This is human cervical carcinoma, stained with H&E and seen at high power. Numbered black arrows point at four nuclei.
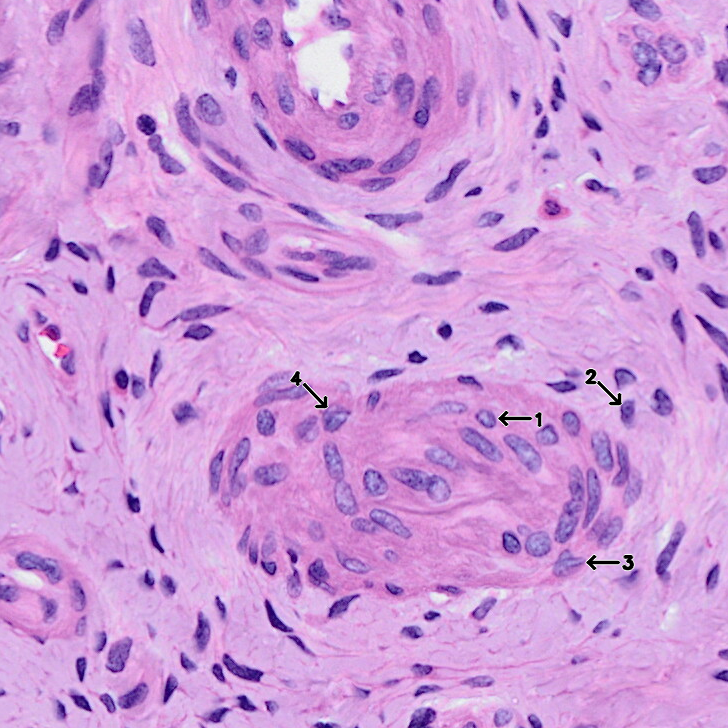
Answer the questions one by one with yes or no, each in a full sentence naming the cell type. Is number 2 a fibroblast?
Yes, the cell shown as number 2 is a fibroblast.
